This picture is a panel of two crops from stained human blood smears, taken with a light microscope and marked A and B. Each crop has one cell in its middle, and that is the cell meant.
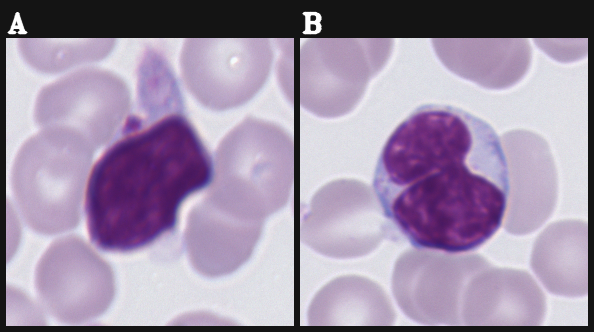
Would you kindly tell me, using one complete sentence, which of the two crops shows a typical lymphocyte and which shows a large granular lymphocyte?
Crop A and crop B are a typical lymphocyte and a large granular lymphocyte, in that order.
